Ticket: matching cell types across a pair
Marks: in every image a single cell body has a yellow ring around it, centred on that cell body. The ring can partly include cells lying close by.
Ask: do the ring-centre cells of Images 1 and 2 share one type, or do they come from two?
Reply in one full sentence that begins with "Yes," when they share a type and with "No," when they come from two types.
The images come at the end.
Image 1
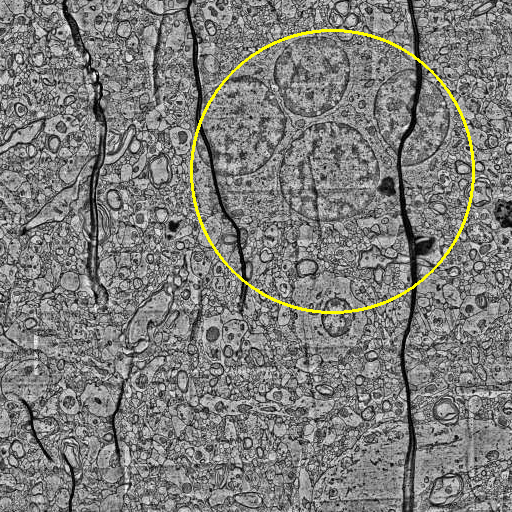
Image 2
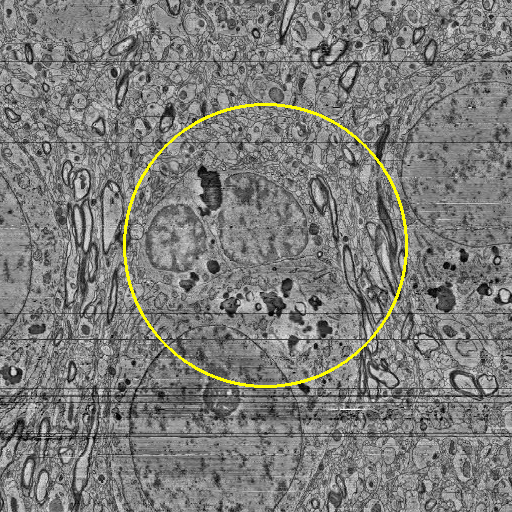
Yes, the cells in the centres of the rings in Image 1 and Image 2 share one type.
